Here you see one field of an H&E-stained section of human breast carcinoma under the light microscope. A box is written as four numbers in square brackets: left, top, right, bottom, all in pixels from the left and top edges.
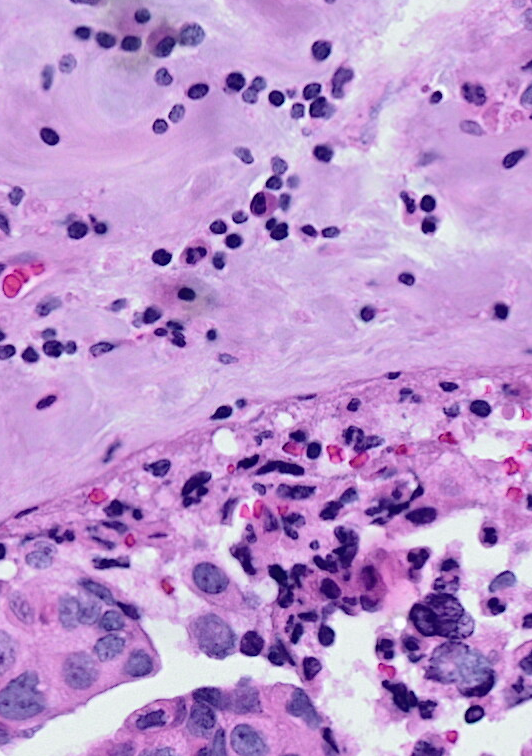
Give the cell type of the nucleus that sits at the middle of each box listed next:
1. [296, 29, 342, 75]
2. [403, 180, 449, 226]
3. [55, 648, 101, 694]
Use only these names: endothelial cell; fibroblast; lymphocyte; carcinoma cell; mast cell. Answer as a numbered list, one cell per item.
1. lymphocyte
2. lymphocyte
3. carcinoma cell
